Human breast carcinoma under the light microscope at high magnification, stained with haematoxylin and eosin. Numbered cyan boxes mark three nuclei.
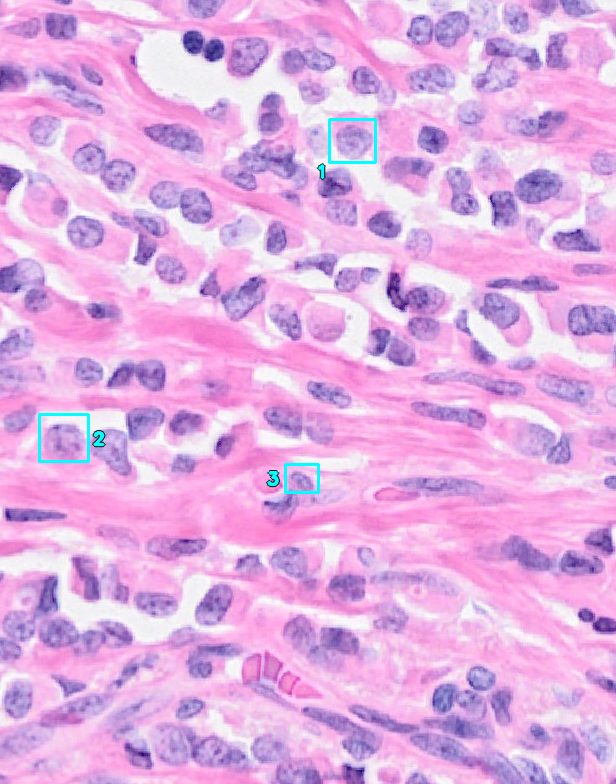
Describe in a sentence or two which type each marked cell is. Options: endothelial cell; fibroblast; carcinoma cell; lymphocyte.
Cells 1 and 2 are carcinoma cells. Cell 3 is an endothelial cell.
